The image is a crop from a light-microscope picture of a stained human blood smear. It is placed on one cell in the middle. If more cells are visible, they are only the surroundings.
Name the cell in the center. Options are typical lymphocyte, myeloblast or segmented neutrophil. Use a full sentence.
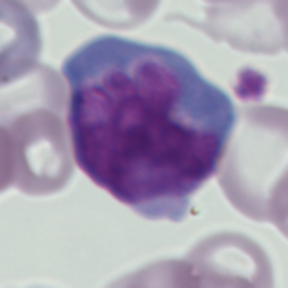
The cell found in the middle of this crop is a myeloblast.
